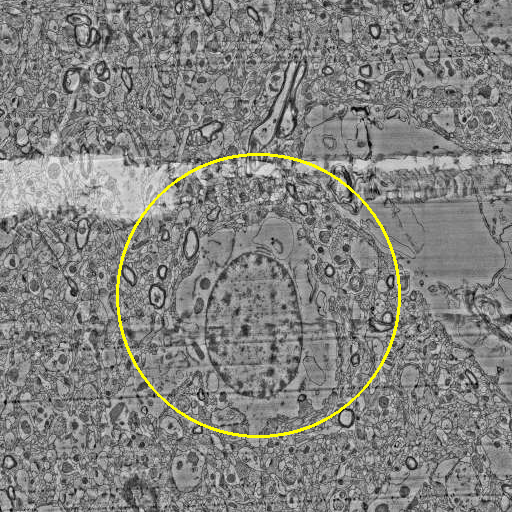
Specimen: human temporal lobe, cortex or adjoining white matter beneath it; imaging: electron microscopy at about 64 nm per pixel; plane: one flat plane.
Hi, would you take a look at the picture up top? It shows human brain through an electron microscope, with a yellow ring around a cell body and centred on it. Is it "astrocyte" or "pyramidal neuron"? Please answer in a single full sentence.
The best fit for the cell in the middle of the ring is an astrocyte, I reckon.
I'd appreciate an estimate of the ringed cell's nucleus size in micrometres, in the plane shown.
Roughly 9 by 6 micrometres in this plane, for the nucleus of the ringed cell.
